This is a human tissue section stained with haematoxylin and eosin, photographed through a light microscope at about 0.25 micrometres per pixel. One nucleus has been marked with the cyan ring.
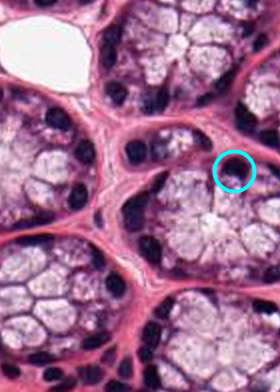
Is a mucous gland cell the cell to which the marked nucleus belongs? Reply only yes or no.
yes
